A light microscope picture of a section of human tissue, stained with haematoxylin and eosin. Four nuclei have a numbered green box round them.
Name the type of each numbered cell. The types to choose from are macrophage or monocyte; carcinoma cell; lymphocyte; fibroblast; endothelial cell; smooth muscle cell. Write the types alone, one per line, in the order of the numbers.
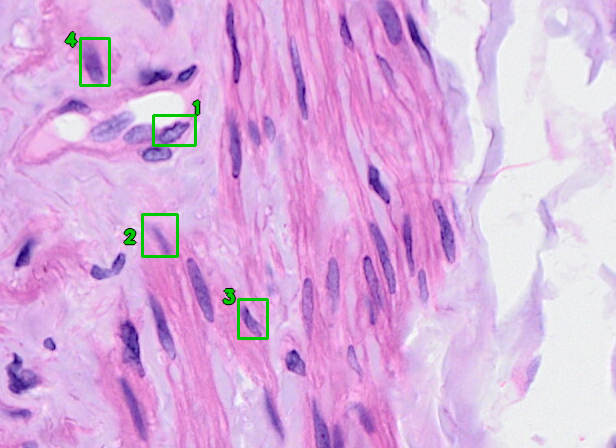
endothelial cell
smooth muscle cell
smooth muscle cell
smooth muscle cell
